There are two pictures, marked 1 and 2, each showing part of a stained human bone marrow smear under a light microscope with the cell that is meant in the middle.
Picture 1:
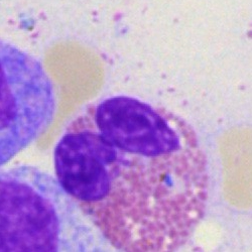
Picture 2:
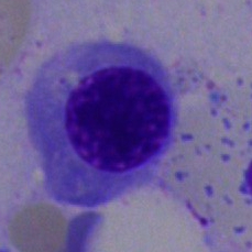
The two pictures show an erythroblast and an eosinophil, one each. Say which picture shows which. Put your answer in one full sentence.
In picture 1 the cell is an eosinophil; in picture 2, an erythroblast.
